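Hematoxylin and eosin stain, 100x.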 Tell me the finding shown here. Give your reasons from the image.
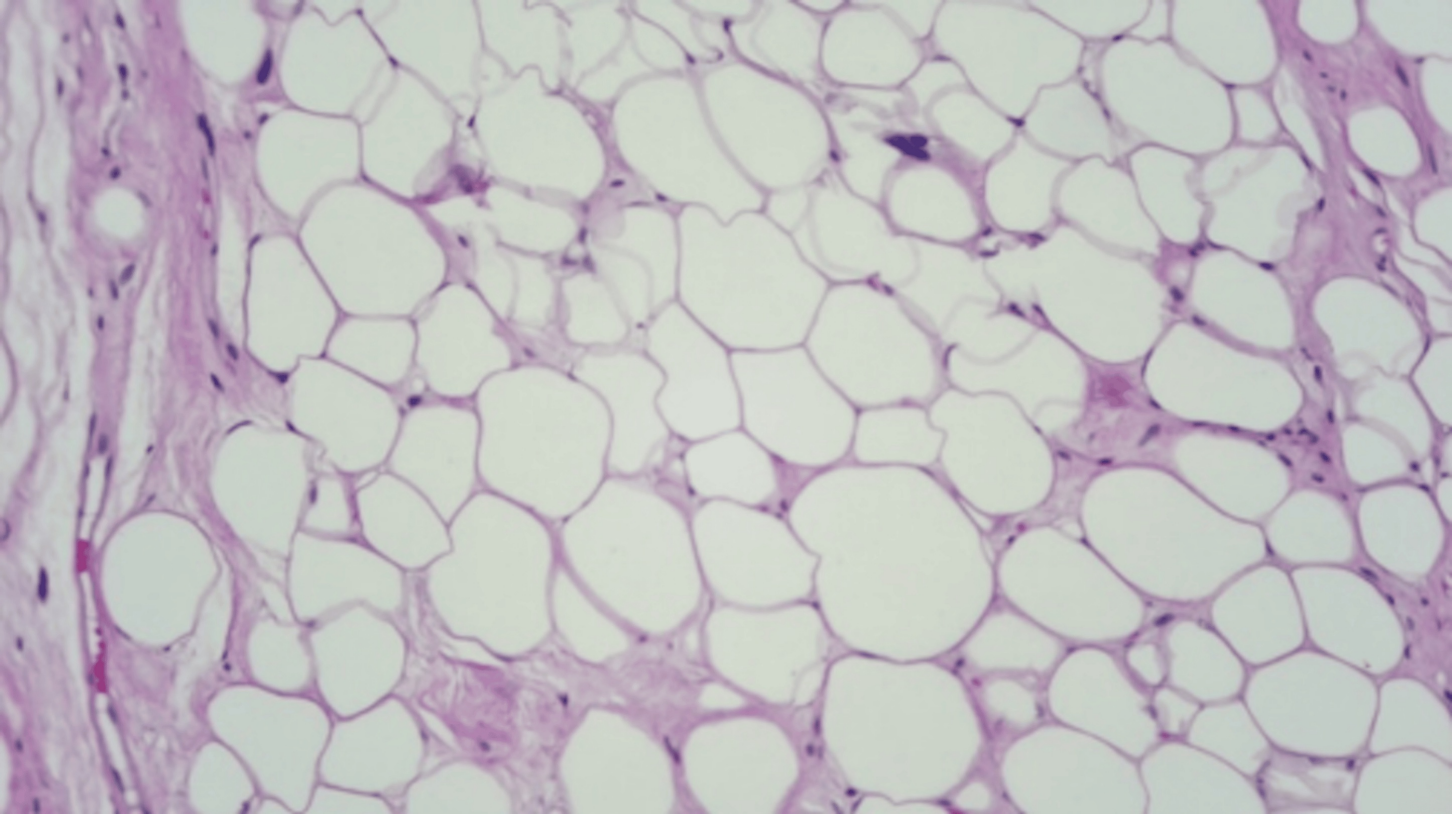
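A single enlarged, irregular, very dark purple nucleus lies between fat vacuoles near the top centre. Most other nuclei are small and thin.
Hence: scattered nuclear atypia.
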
